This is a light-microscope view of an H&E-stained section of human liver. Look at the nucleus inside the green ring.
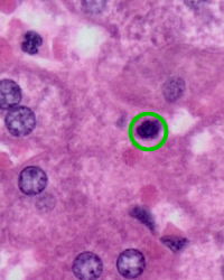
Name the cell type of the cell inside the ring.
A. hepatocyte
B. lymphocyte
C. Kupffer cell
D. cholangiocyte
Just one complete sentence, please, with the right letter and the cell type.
It is as option B has it, the cell inside the ring being a lymphocyte.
